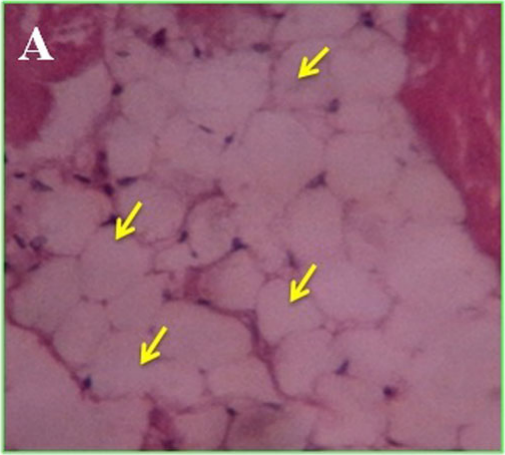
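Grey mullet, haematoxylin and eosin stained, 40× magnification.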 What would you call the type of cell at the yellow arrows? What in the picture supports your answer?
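Large, pale, empty-looking polygonal cells packed closely together. Thin pink walls between the cells. Small dark flattened nuclei pushed to the cell edges. On this evidence: adipocytes.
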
